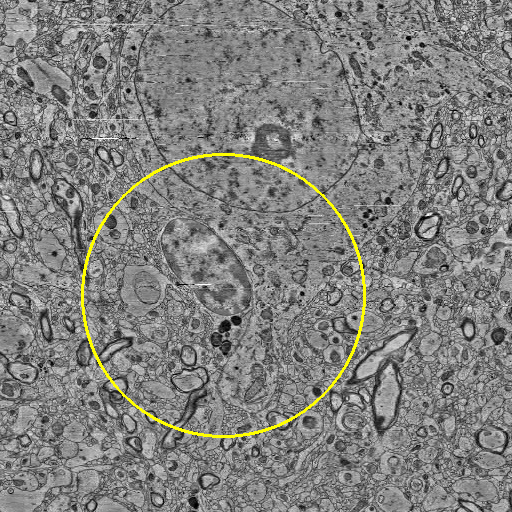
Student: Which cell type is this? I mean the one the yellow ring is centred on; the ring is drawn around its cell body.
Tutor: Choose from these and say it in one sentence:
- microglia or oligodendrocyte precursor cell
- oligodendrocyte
The cell the ring is centred on is a microglial cell or oligodendrocyte precursor cell.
